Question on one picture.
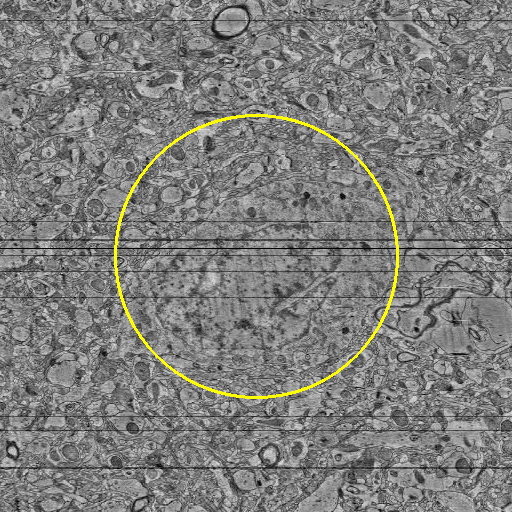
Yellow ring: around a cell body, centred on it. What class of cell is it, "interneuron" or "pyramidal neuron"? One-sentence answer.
This is an interneuron, the cell the ring is centred on.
